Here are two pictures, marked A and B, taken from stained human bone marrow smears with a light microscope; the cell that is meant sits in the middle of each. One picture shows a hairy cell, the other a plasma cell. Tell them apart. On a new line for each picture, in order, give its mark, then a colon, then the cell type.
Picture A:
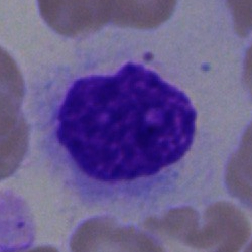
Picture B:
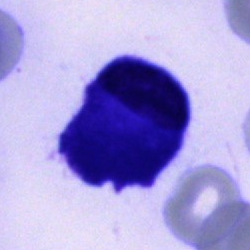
A: hairy cell
B: plasma cell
